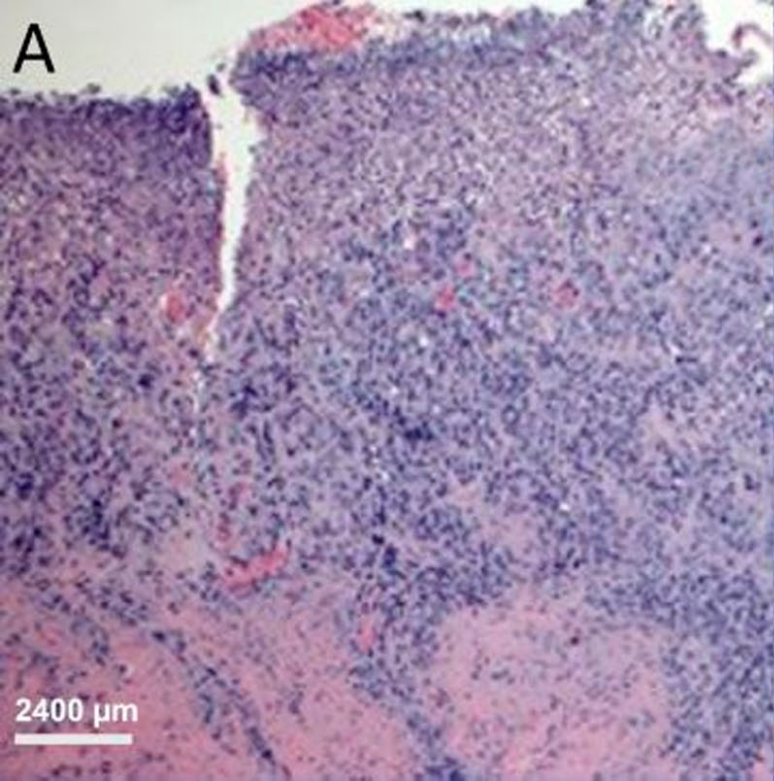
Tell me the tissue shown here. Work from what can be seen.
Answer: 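Inflamed granulation tissue. No surface epithelial layer covers the tissue at the top edge. Dense sheets of small dark-nucleated cells fill the tissue. Scattered small vessels with red blood cells lie among the cells.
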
